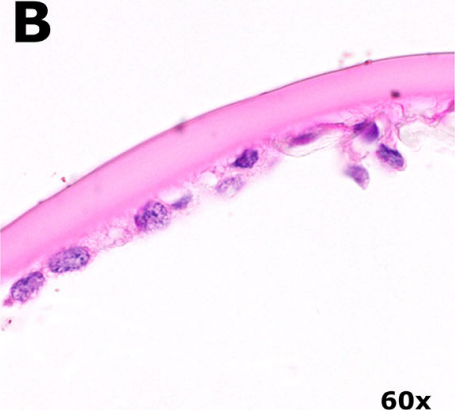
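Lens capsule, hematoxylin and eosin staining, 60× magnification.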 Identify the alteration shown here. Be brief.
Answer: epithelial cells are loosely adherent to the basement membrane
